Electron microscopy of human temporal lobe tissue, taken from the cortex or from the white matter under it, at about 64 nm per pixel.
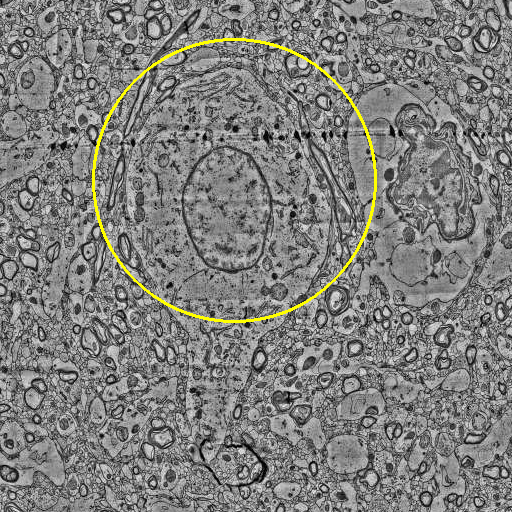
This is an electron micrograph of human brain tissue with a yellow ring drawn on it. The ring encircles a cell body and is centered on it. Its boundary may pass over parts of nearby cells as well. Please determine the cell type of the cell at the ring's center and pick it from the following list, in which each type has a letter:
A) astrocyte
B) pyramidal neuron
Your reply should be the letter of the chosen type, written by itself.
B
